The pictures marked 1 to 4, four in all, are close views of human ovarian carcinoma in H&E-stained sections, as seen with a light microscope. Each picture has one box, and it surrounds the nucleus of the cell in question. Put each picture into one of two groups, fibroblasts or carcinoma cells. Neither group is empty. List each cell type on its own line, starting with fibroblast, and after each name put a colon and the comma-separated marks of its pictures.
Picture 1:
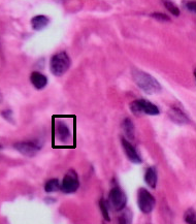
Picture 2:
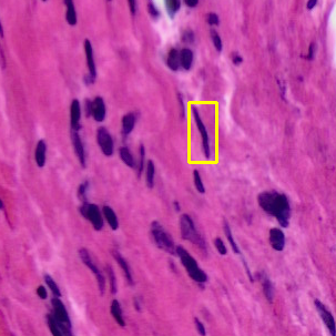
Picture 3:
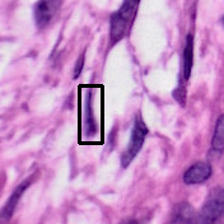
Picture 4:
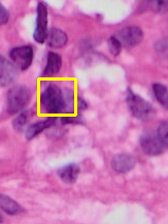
fibroblast: 1, 2, 3
carcinoma cell: 4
